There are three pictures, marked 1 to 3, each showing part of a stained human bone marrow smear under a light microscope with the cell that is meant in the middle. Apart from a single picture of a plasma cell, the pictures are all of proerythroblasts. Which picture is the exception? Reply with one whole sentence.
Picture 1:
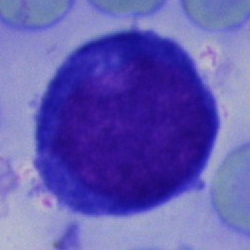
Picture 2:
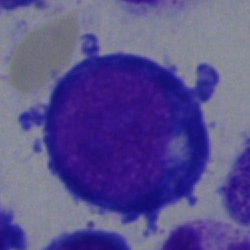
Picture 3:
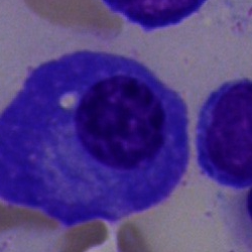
The cell in picture 3 is the plasma cell.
